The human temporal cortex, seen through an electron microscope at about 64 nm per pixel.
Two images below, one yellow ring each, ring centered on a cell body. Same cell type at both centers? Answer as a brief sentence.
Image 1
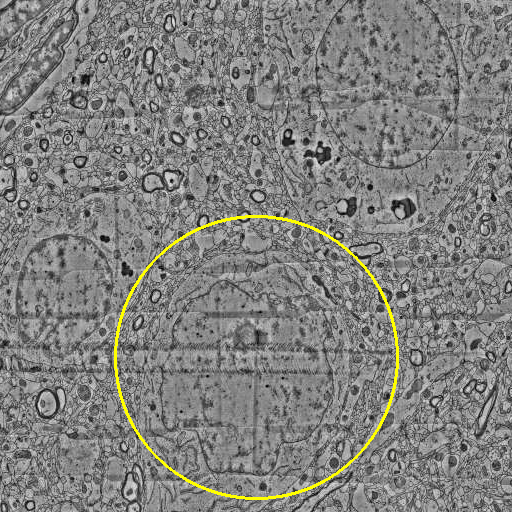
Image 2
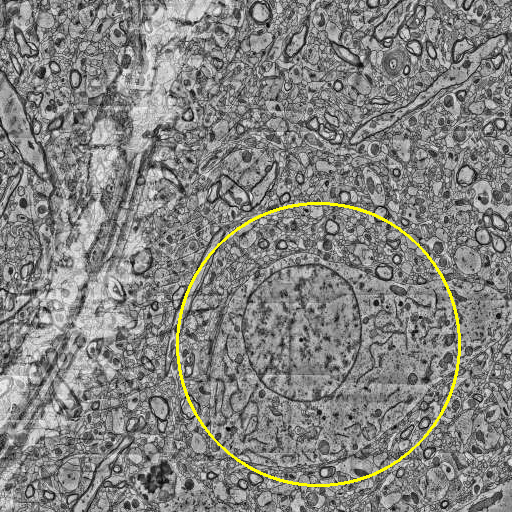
No, the cells are of two separate types.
